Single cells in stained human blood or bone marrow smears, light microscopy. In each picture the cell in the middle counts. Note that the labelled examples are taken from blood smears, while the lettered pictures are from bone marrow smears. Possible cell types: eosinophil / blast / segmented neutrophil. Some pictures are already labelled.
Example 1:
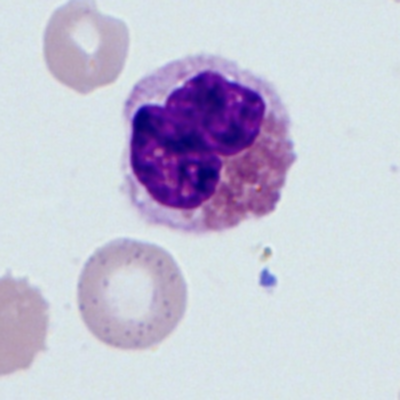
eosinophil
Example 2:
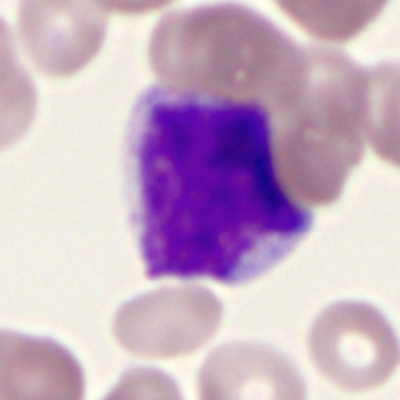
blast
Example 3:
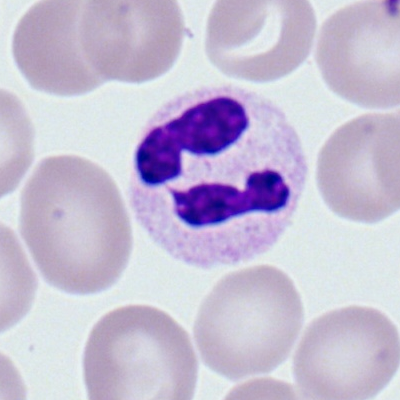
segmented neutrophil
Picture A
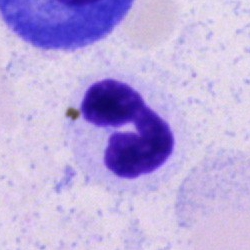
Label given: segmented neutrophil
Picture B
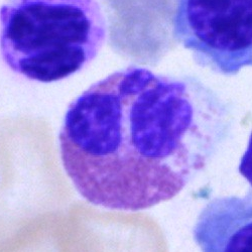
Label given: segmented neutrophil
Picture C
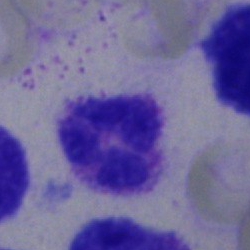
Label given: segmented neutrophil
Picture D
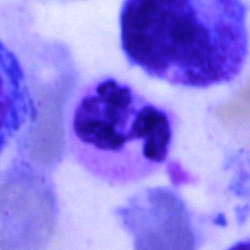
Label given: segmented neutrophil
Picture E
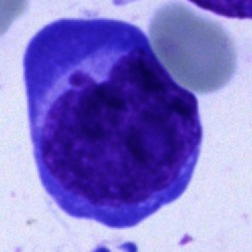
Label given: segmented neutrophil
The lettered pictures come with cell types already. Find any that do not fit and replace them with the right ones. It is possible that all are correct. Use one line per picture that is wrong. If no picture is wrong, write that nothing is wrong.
B is labelled segmented neutrophil; correct label: eosinophil
E is labelled segmented neutrophil; correct label: blast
